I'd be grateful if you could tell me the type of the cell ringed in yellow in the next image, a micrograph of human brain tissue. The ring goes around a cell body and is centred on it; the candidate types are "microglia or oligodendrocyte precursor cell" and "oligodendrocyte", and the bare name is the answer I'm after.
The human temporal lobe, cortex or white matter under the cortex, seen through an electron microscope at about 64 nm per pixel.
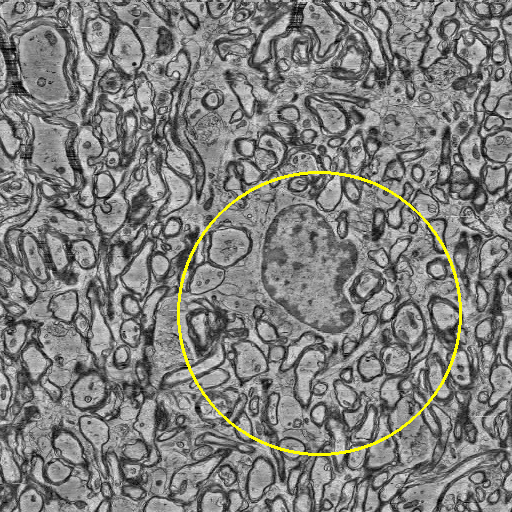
microglia or oligodendrocyte precursor cell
